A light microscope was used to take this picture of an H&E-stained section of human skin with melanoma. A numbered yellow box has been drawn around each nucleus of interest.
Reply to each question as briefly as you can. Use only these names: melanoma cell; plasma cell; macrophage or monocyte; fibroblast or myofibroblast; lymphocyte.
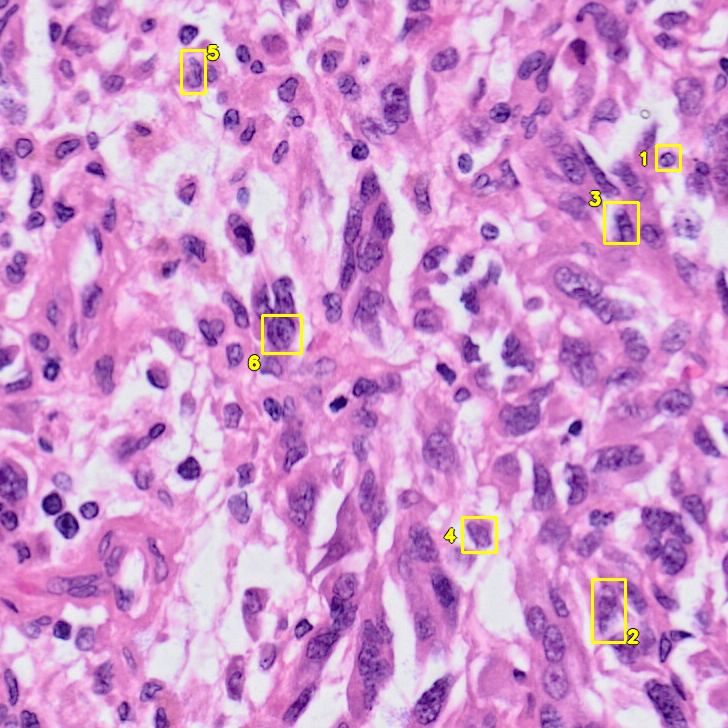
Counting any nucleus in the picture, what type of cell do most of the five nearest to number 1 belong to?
melanoma cell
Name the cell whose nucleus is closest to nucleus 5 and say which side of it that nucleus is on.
a macrophage or monocyte, to the right of nucleus 5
